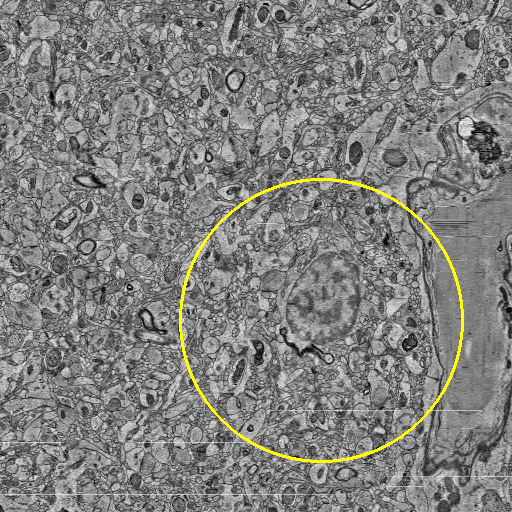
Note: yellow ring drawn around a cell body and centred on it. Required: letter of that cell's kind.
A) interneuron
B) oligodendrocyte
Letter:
B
